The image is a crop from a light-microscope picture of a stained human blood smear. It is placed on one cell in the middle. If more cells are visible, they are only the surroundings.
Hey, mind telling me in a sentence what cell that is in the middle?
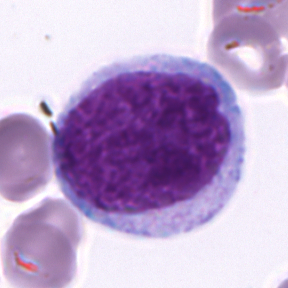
Within this crop, a promyelocyte occupies the central position.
